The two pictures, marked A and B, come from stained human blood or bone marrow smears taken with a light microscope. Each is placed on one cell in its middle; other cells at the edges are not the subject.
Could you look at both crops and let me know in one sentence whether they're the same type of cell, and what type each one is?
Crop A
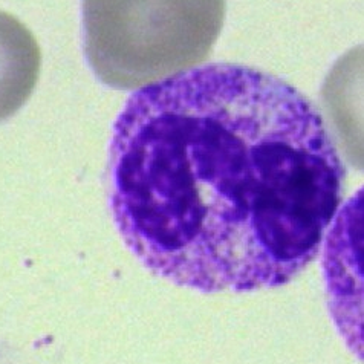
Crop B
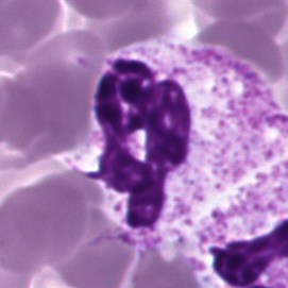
Yes, both crops show segmented neutrophils as their central cells.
